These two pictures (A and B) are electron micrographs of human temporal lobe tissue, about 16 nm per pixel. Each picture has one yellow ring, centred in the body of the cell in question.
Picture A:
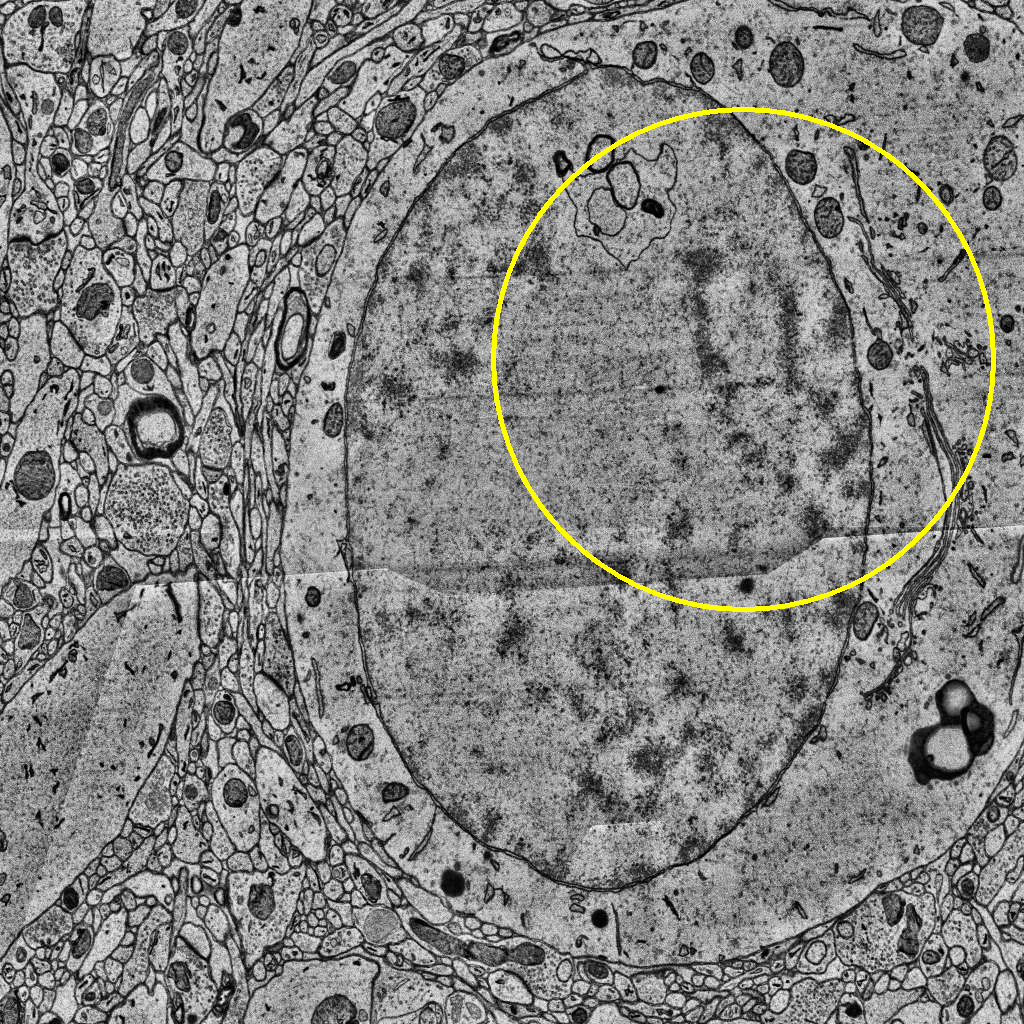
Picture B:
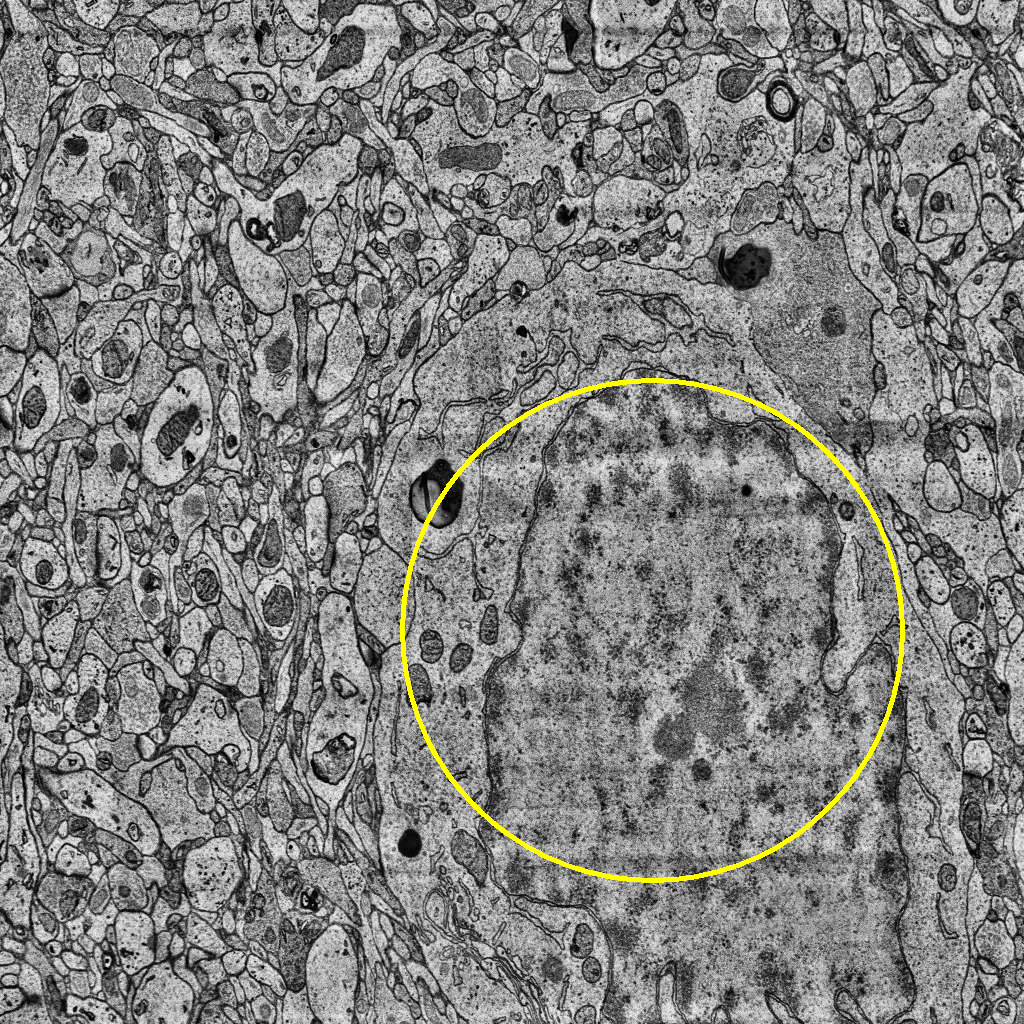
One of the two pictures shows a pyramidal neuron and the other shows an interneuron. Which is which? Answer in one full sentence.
In picture A the cell is a pyramidal neuron; in picture B, an interneuron.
